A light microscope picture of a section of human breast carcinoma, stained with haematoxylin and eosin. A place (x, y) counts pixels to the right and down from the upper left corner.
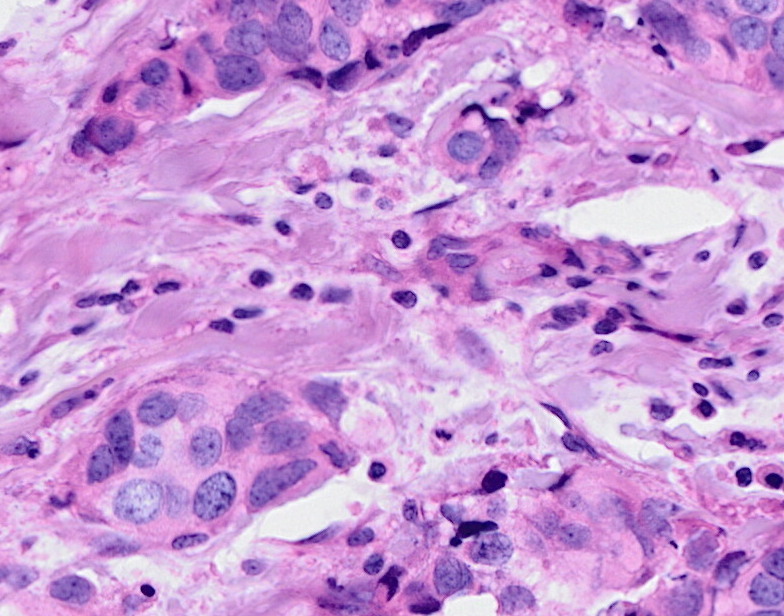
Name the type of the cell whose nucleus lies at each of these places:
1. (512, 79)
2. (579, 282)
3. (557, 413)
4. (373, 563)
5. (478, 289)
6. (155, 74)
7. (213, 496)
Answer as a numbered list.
1. fibroblast
2. lymphocyte
3. fibroblast
4. lymphocyte
5. endothelial cell
6. carcinoma cell
7. carcinoma cell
